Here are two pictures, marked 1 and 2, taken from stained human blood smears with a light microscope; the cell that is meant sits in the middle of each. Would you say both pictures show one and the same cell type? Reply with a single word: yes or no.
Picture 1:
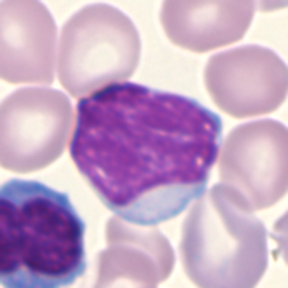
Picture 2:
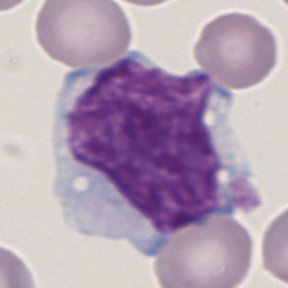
yes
